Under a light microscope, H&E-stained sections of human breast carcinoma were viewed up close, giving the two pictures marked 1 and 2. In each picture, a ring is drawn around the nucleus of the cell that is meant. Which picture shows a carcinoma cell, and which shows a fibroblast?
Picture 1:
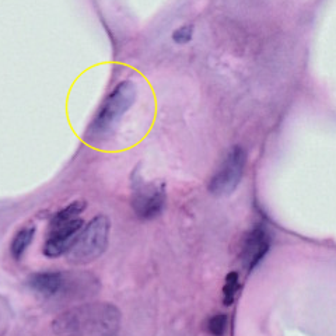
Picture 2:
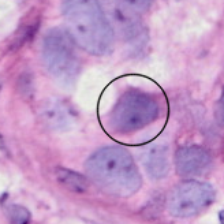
1: fibroblast
2: carcinoma cell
